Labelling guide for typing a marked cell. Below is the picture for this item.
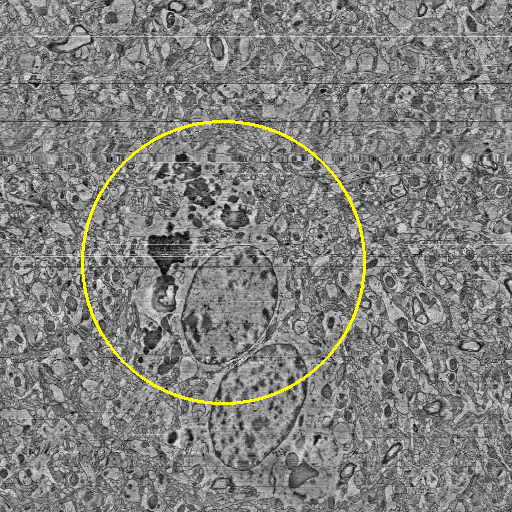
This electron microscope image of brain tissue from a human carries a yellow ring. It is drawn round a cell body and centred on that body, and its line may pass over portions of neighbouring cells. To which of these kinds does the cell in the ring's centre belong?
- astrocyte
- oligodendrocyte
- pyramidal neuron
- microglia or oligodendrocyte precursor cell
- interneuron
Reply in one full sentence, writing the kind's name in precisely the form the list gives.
Here we have an astrocyte at the centre of the yellow ring in the picture.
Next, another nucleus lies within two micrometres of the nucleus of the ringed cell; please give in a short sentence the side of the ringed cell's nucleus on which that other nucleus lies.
That other nucleus is below it.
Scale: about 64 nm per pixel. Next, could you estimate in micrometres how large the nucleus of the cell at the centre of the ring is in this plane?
In this plane, approximately 8 by 6 micrometers.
